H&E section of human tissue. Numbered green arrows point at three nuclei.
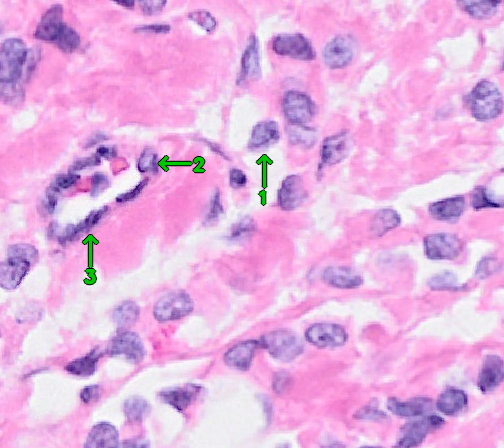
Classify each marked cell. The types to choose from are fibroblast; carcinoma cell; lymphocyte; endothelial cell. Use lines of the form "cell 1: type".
cell 1: carcinoma cell
cell 2: endothelial cell
cell 3: endothelial cell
